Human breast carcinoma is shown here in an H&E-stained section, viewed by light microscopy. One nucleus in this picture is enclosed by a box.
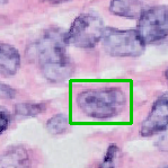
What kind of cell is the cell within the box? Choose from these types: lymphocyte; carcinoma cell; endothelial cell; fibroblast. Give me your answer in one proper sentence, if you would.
The cell type of the cell within the box is that of a carcinoma cell.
